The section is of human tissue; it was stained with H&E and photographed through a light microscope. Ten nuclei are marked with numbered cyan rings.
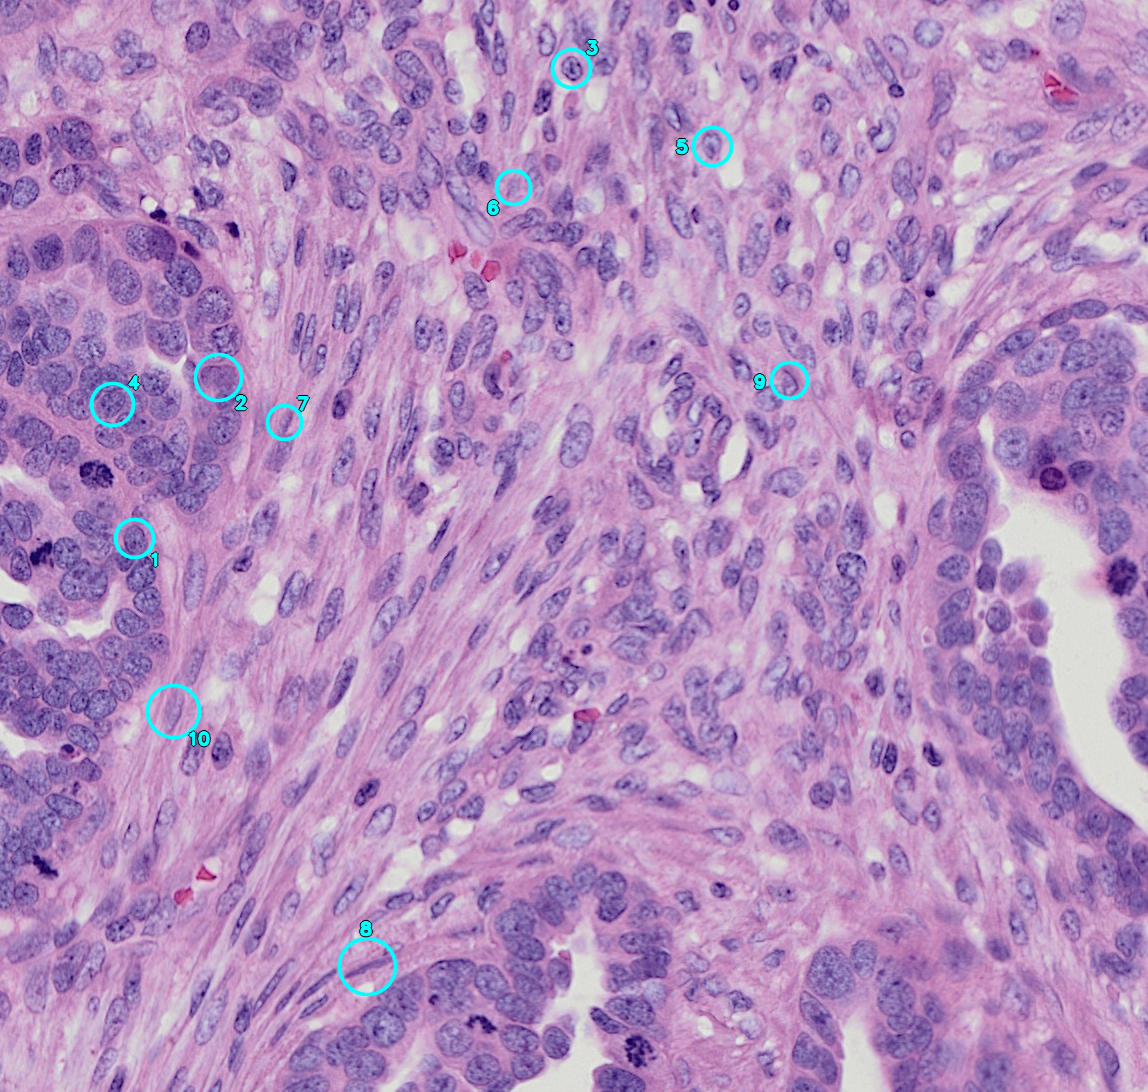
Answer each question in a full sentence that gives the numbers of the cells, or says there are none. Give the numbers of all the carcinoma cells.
The cells whose numbers are 1, 2 and 4 are carcinoma cells.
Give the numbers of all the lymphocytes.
Only nucleus 3 belongs to a lymphocyte; the other numbered nuclei do not.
